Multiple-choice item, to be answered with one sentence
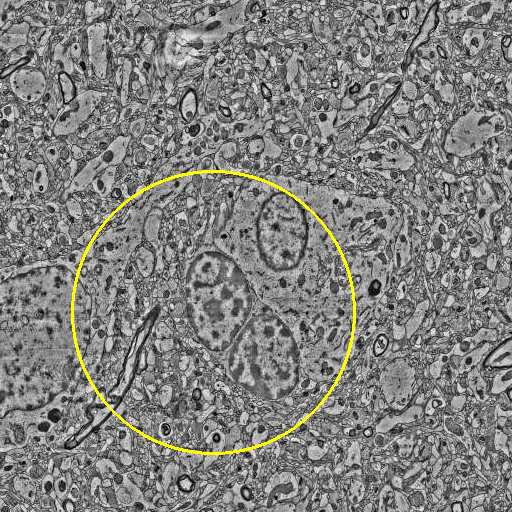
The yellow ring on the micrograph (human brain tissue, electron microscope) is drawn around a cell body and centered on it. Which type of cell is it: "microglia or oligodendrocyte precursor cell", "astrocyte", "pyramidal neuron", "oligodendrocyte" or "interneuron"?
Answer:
The ring is centered on an oligodendrocyte.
